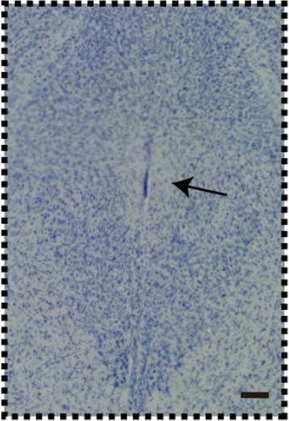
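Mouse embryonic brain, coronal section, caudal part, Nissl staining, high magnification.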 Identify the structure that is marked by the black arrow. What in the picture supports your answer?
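A narrow, darkly stained vertical slit lies in the midline of the section. The slit has no open lumen. On this evidence: aqueducts.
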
